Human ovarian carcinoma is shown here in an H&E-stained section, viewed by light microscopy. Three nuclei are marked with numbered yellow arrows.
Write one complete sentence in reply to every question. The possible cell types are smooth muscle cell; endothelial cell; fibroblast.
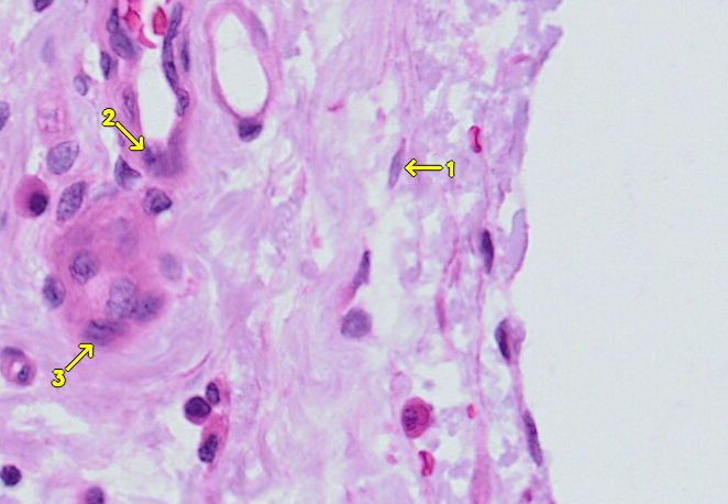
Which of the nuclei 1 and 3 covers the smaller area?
The smaller nucleus is 1, and 3 covers roughly 2 times its area.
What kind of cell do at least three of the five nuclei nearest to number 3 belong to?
Most of the five nuclei nearest to number 3 are those of endothelial cells.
